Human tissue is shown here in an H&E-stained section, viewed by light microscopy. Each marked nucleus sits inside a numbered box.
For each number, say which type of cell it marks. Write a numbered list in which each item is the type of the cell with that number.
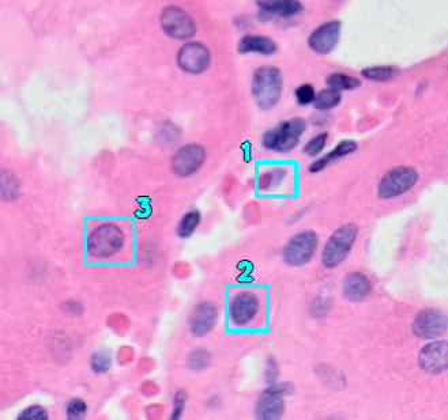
1. endothelial cell
2. loop of Henle or distal tubule cell
3. proximal tubule cell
